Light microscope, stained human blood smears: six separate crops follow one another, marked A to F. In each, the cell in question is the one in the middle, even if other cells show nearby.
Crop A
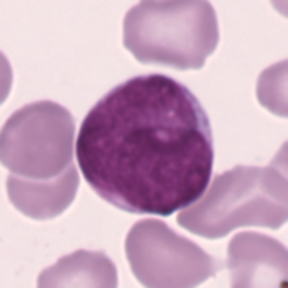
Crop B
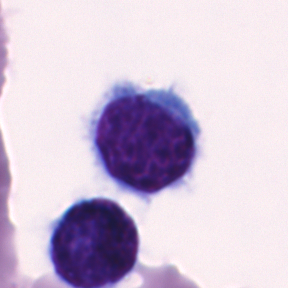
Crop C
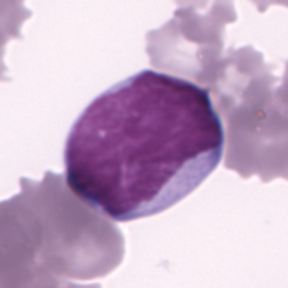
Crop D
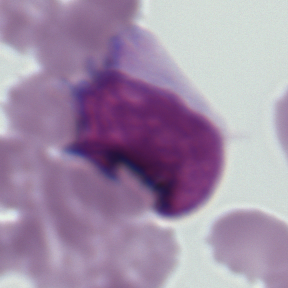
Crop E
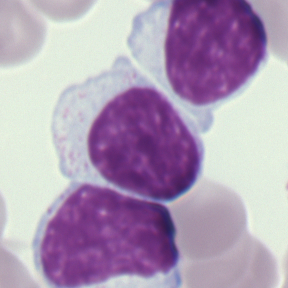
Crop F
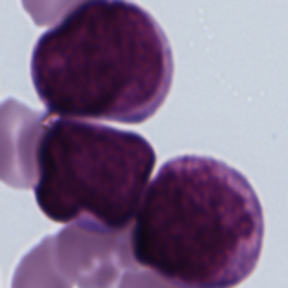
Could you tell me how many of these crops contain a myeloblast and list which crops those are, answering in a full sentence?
Of all the crops, four show myeloblasts, those being A, C, D and F.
